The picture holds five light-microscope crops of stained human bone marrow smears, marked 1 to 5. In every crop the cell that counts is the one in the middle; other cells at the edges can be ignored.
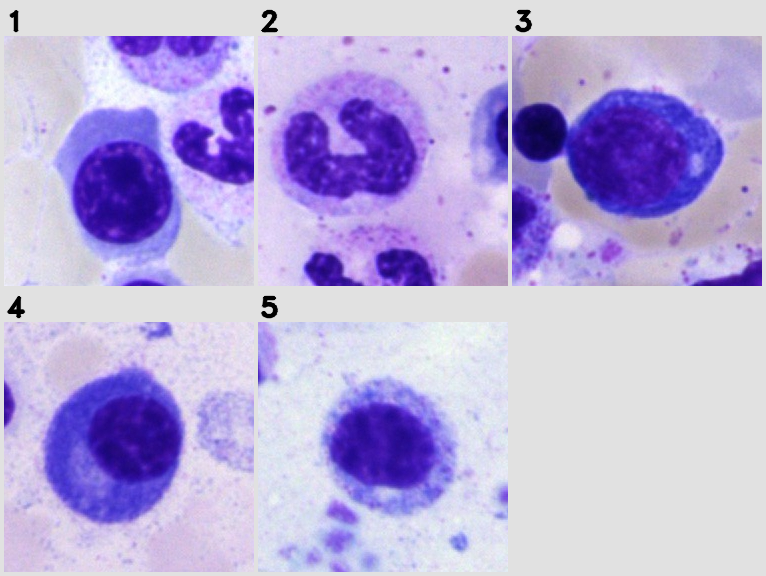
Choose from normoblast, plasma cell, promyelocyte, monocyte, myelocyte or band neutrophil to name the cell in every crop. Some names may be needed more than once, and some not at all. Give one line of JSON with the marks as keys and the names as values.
{"1": "normoblast", "2": "band neutrophil", "3": "normoblast", "4": "plasma cell", "5": "myelocyte"}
